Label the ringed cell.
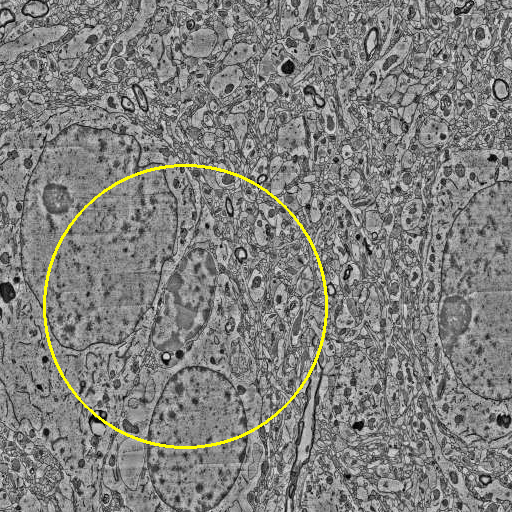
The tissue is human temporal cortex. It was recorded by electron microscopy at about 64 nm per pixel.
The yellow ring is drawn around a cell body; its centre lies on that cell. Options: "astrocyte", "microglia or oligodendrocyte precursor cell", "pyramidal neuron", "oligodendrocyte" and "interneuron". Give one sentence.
The ringed cell is a microglial cell or oligodendrocyte precursor cell.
